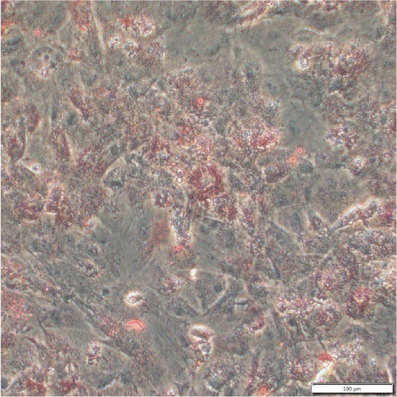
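A dense culture of adipocytes is seen in which many cells are packed with red-stained droplets. The droplets are small and round, clustered within the cytoplasm so that whole cells appear speckled red. Between these filled cells lie flatter, elongated cells with little or no red stain, and a few rounder refractile cells stand out above the layer.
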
